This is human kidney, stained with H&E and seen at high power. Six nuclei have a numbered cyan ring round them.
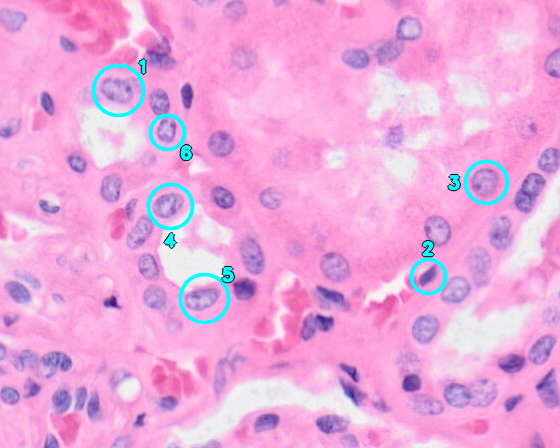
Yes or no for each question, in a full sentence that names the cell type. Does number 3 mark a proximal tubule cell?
Yes, the numbered cell 3 is identified as a proximal tubule cell.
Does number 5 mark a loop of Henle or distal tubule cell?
Yes, the cell with number 5 is a loop of Henle or distal tubule cell.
